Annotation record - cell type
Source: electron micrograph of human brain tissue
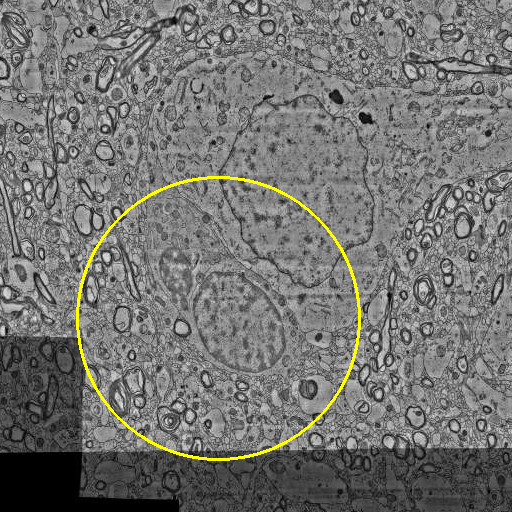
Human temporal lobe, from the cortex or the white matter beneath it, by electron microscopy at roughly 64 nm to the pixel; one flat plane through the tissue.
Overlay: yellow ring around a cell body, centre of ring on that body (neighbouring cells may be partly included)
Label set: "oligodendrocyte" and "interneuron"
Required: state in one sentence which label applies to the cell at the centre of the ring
This cell should be labelled as an oligodendrocyte.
